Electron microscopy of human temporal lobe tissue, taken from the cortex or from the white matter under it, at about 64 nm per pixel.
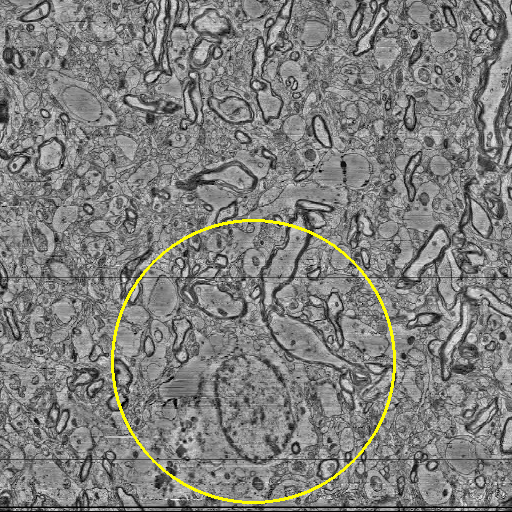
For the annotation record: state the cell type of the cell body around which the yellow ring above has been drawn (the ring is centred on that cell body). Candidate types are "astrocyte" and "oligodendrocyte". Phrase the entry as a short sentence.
The ringed cell is an astrocyte.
